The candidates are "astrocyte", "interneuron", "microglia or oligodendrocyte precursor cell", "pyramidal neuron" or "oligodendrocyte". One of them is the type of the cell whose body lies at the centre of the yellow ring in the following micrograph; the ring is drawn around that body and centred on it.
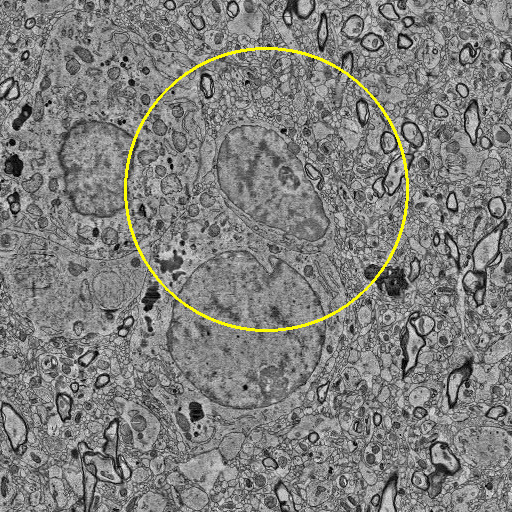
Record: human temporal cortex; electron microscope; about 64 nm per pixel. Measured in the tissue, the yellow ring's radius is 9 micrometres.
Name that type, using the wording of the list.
oligodendrocyte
